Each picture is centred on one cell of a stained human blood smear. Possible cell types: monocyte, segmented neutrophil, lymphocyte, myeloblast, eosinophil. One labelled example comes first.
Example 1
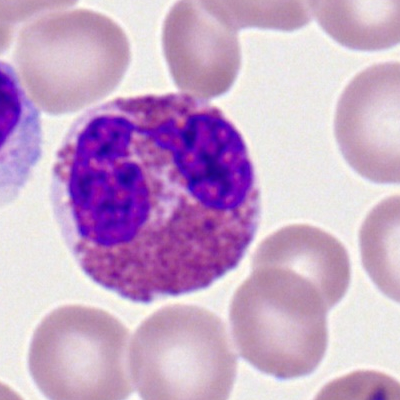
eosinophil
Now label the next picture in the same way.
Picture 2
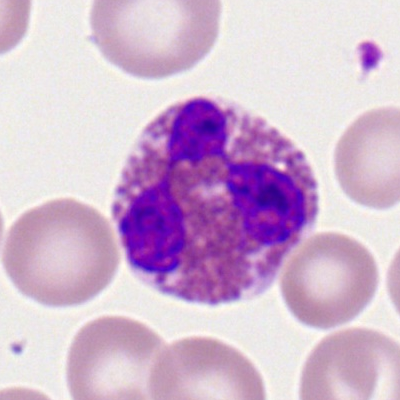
eosinophil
